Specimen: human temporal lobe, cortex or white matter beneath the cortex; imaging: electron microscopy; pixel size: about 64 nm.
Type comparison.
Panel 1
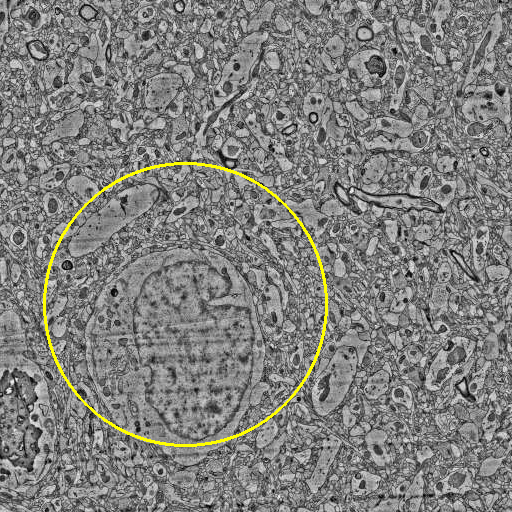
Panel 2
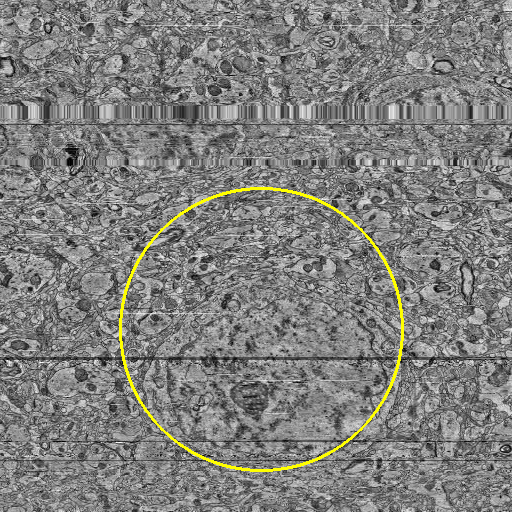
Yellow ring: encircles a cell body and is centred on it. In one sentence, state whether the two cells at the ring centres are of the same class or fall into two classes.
In these panels, the two cells at the ring centres are of the same class.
